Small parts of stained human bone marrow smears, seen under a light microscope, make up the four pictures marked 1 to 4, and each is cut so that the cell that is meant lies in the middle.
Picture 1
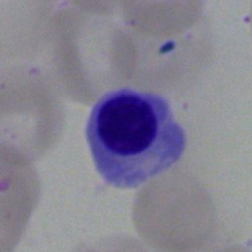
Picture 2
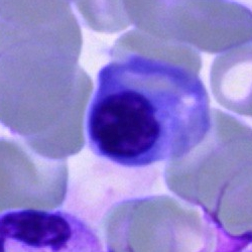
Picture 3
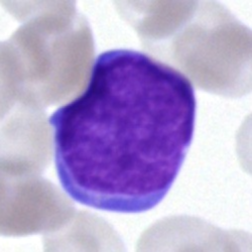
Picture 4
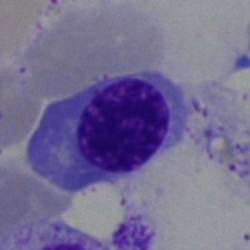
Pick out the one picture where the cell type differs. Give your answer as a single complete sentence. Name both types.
Picture 3 is the odd one out: it shows a blast, while the others show erythroblasts.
